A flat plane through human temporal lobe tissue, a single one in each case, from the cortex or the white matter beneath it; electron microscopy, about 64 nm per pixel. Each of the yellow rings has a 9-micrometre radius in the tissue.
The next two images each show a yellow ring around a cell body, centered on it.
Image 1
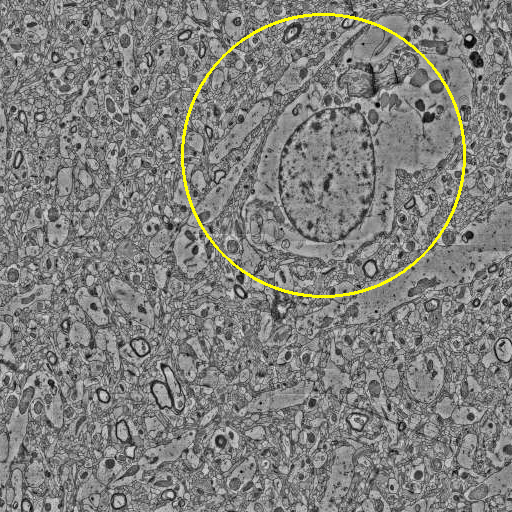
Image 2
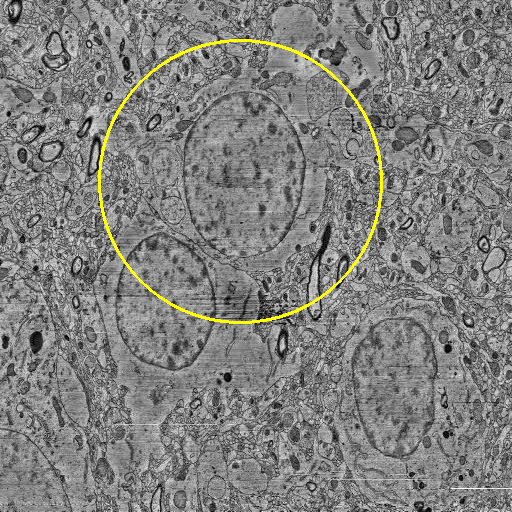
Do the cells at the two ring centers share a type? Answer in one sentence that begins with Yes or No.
Yes, across the two images the cells at the ring centers share one type.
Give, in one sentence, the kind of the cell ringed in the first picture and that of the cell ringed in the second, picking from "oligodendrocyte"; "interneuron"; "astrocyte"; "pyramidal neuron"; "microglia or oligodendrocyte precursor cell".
In each picture the ringed cell is an astrocyte.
